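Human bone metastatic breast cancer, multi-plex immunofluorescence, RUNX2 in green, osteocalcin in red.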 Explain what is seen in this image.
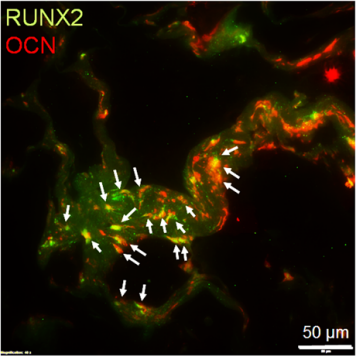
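The cells are small and elongated, many of them showing green and red signal together, and they crowd most densely where the strands meet in a knot at the centre. Around the strands lie large empty dark spaces.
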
